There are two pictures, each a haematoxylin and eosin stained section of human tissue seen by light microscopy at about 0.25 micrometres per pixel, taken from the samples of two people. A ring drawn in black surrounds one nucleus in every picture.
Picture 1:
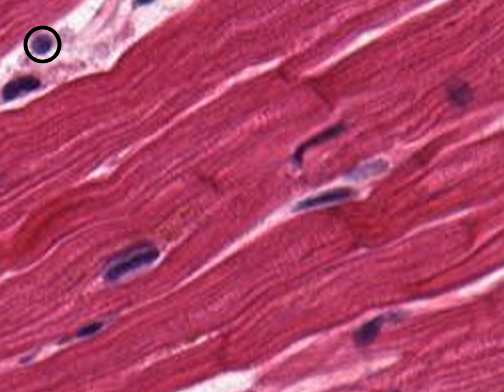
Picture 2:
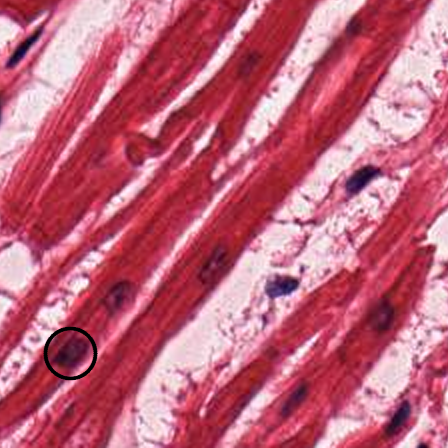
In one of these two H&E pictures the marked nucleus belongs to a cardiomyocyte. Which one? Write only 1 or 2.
2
